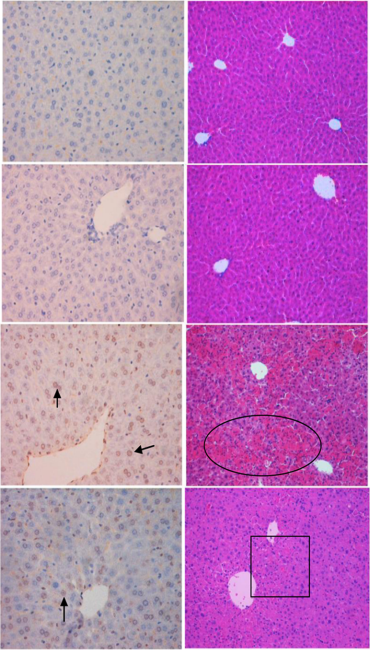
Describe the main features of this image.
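Liver sections in pairs, a brown-on-blue stained section beside a pink-and-purple section, with hepatocyte cords radiating around central veins. In the upper two rows the cords are regular and nuclei are blue.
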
